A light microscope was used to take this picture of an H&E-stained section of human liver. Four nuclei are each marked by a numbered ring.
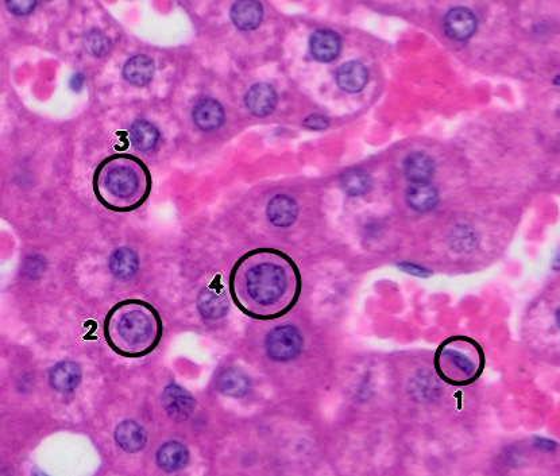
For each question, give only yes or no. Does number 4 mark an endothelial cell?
no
